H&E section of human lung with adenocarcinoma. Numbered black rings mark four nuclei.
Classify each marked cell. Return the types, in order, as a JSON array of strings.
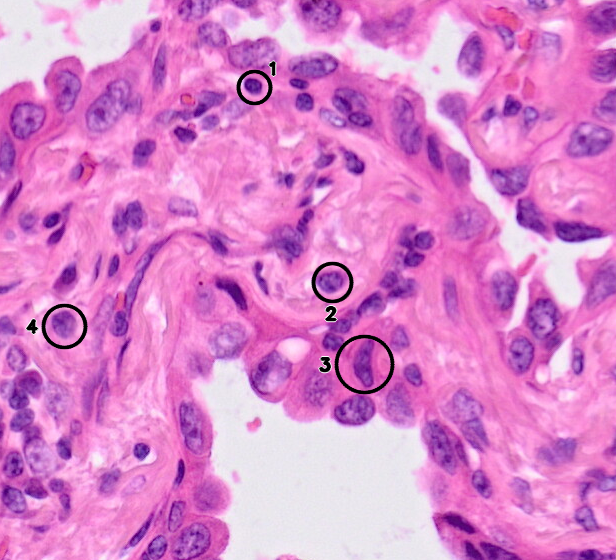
["lymphocyte", "plasma cell", "carcinoma cell", "plasma cell"]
